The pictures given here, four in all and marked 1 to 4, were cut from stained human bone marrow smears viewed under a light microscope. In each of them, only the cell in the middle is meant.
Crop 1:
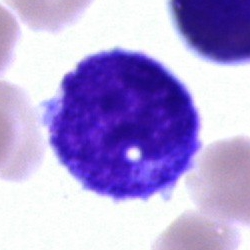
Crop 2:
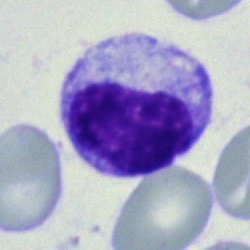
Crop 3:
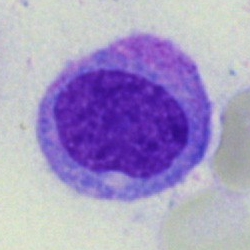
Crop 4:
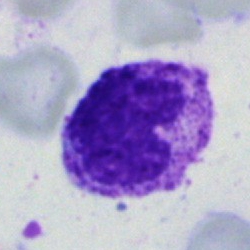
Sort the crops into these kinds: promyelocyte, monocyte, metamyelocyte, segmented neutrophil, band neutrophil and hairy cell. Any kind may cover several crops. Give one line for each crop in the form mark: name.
1: promyelocyte
2: metamyelocyte
3: monocyte
4: metamyelocyte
